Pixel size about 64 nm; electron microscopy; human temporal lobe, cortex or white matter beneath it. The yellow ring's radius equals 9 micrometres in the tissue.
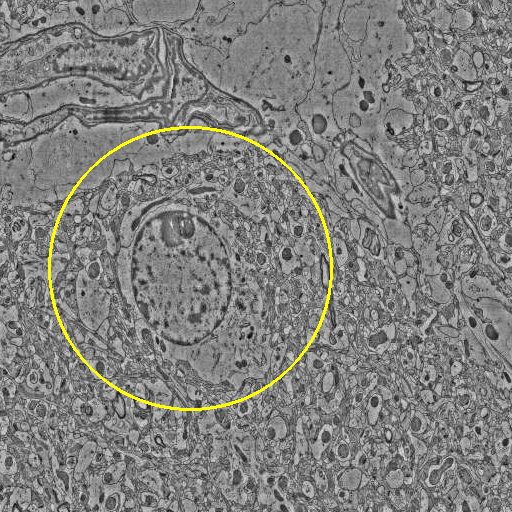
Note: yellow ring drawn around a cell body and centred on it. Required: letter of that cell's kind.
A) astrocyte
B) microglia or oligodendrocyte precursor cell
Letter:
A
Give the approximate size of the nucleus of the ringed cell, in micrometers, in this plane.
Roughly 8 micrometres by 6 micrometres, in this plane.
